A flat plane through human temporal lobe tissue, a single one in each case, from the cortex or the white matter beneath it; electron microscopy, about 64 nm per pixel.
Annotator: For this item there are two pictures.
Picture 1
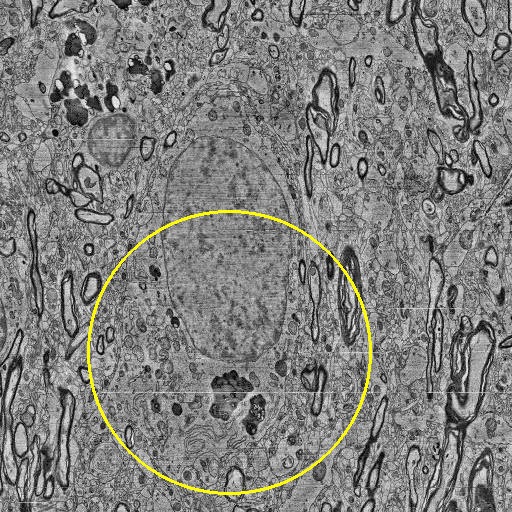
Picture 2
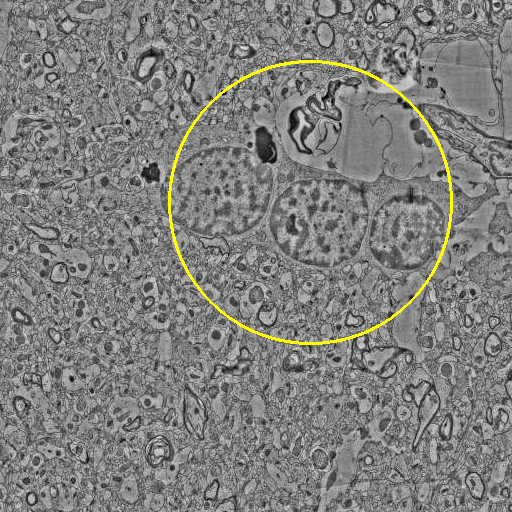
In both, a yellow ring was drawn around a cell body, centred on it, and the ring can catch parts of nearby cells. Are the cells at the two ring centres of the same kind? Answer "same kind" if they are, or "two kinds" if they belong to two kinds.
two kinds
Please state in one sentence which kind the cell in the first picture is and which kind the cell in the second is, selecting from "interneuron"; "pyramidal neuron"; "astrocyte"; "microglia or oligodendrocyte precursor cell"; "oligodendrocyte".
The first ringed cell is an interneuron, the second ringed cell an oligodendrocyte.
